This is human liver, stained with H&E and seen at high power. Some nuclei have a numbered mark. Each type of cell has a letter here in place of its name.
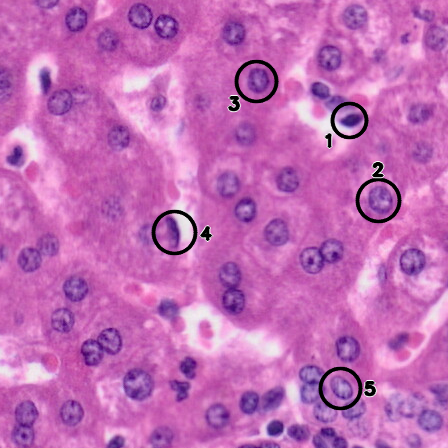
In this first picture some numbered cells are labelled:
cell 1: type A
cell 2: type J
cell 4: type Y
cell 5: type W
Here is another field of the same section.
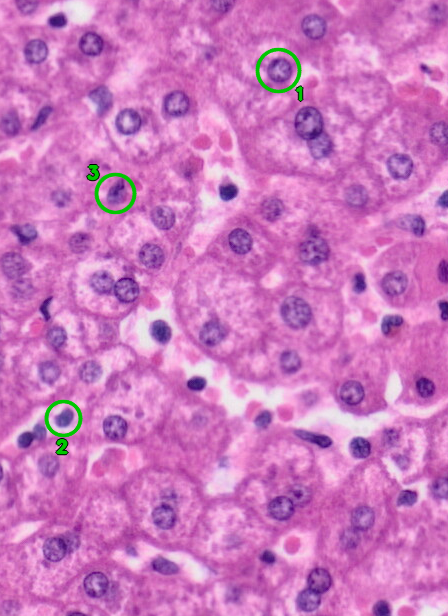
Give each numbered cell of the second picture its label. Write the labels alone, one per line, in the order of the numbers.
type J
type A
type Y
